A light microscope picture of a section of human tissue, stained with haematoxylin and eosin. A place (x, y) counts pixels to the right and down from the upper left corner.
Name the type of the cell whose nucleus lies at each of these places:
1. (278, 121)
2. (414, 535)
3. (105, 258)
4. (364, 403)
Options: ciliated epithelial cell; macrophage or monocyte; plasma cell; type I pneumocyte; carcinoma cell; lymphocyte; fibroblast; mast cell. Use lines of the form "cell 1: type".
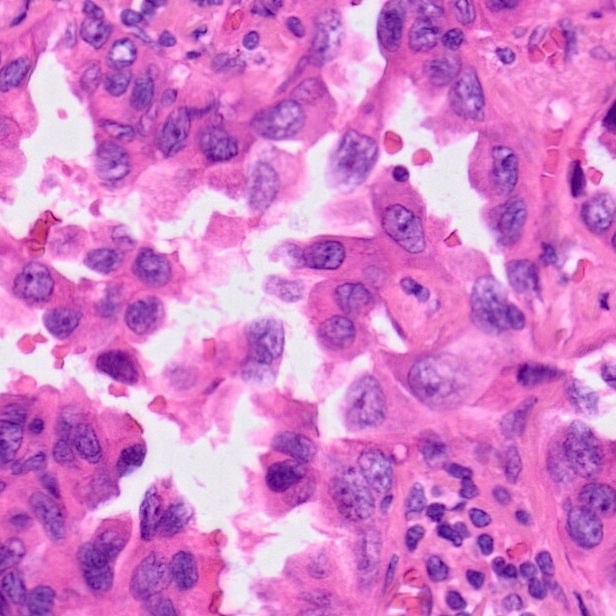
cell 1: carcinoma cell
cell 2: lymphocyte
cell 3: carcinoma cell
cell 4: carcinoma cell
